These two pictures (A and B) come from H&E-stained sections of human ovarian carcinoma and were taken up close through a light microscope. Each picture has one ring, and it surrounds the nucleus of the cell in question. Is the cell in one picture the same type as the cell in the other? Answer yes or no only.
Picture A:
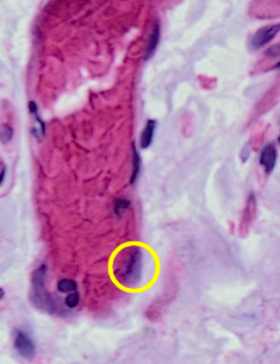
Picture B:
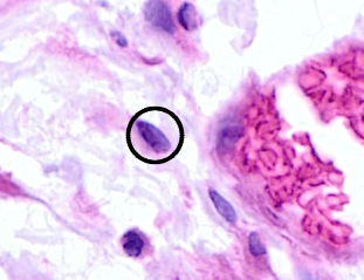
no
